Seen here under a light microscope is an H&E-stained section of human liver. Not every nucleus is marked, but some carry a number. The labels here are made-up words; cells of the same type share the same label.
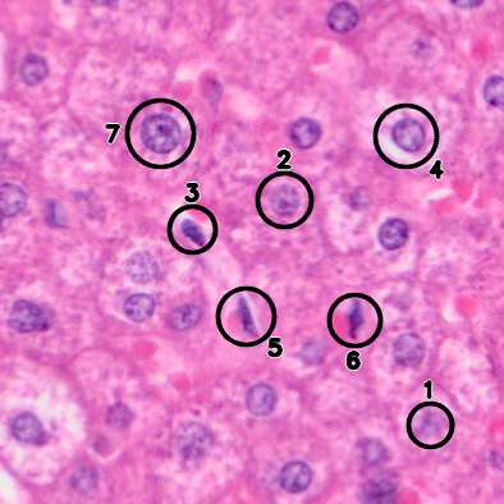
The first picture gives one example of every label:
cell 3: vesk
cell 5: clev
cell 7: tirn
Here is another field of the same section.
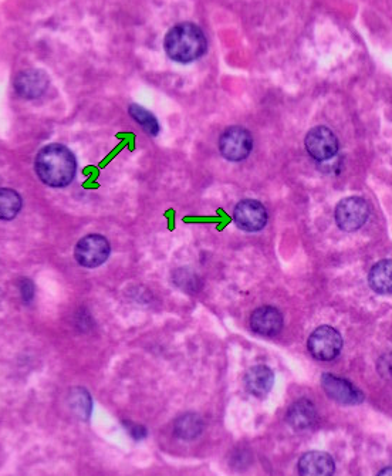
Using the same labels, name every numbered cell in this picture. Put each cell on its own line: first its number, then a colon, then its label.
1: tirn
2: clev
